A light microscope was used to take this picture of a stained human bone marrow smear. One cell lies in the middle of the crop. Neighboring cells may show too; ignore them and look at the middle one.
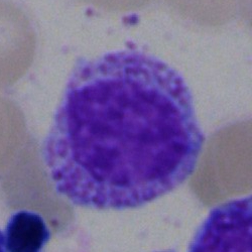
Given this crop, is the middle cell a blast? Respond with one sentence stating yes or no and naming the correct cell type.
No, the middle one is a myelocyte rather than a blast.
